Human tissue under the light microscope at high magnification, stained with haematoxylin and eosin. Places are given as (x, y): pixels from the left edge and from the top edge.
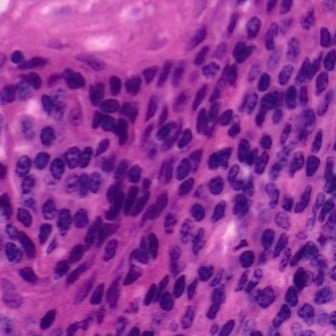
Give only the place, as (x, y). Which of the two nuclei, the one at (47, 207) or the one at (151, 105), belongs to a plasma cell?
(47, 207)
